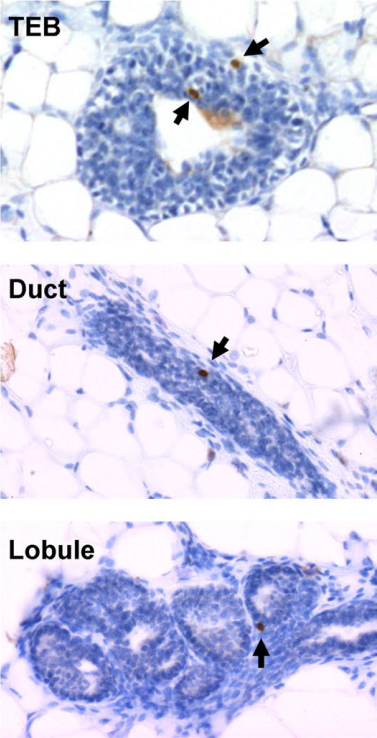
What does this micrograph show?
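Three views of mammary gland epithelium lie within fatty tissue made of large, empty-looking fat cells. At the top is a bulbous, many-layered cluster of crowded blue nuclei around a small central lumen. In the middle is a long, narrow tube of epithelial cells, and at the bottom several rounded epithelial units sit side by side, each with a small lumen. In each view, black arrows point to a few scattered small cells with dark brown staining that lie within or at the edge of the epithelium.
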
